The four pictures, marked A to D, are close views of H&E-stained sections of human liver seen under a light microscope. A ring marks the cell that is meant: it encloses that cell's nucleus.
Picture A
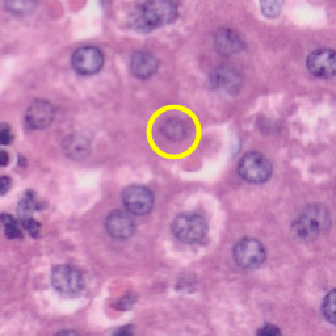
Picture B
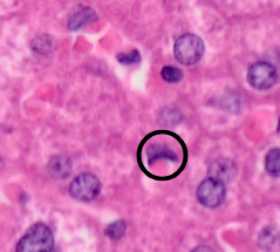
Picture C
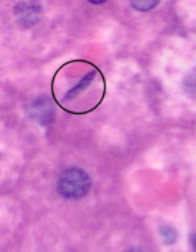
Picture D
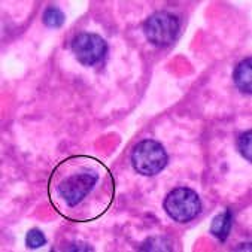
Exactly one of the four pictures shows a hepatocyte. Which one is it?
A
